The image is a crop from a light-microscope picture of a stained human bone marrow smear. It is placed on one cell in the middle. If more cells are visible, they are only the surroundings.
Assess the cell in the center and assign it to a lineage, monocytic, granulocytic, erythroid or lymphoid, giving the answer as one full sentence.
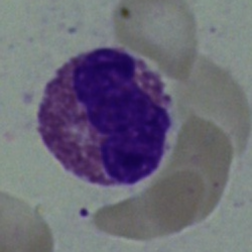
With respect to lineage, the middle cell falls within the granulocytic lineage.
